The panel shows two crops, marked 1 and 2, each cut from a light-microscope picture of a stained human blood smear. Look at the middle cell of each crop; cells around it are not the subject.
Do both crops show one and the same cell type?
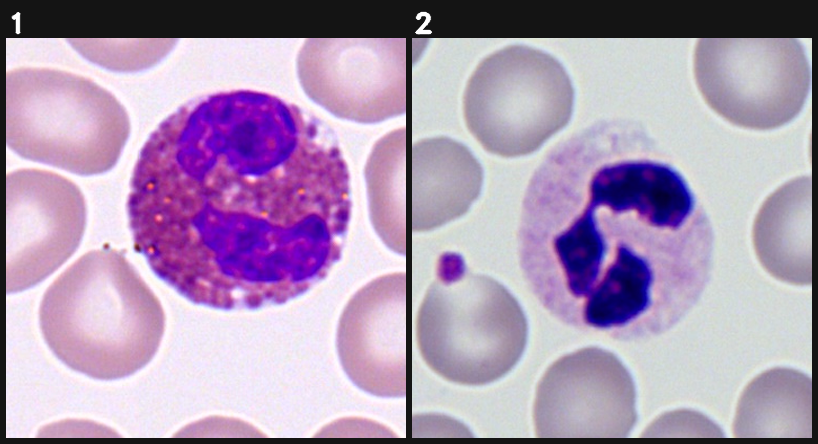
no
